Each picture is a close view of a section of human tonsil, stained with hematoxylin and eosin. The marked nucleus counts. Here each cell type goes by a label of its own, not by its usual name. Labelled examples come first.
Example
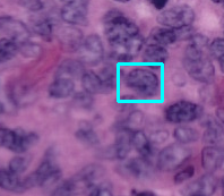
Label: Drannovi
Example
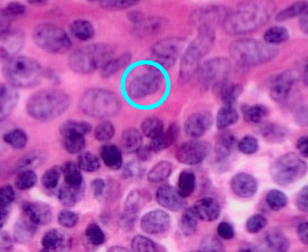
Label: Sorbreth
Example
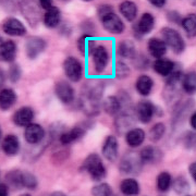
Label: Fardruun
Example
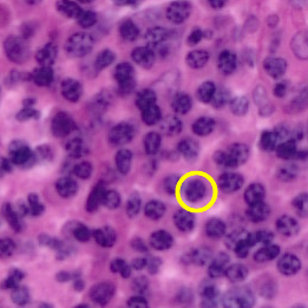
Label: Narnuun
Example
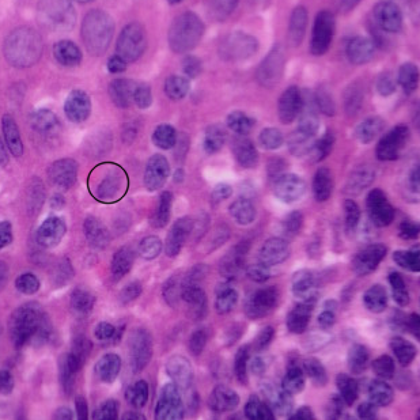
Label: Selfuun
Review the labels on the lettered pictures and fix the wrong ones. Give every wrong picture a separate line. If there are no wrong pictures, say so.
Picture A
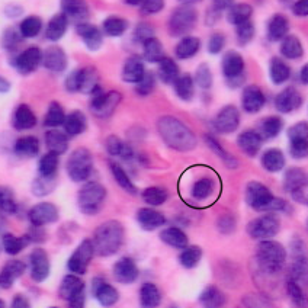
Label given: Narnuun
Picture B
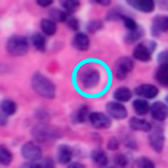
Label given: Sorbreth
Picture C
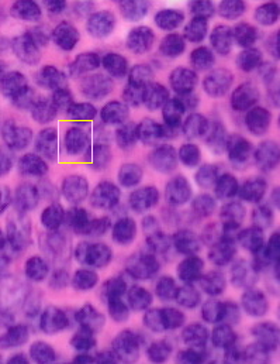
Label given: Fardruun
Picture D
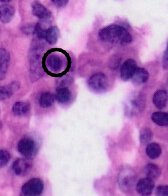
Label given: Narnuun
A: not Narnuun but Sorbreth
